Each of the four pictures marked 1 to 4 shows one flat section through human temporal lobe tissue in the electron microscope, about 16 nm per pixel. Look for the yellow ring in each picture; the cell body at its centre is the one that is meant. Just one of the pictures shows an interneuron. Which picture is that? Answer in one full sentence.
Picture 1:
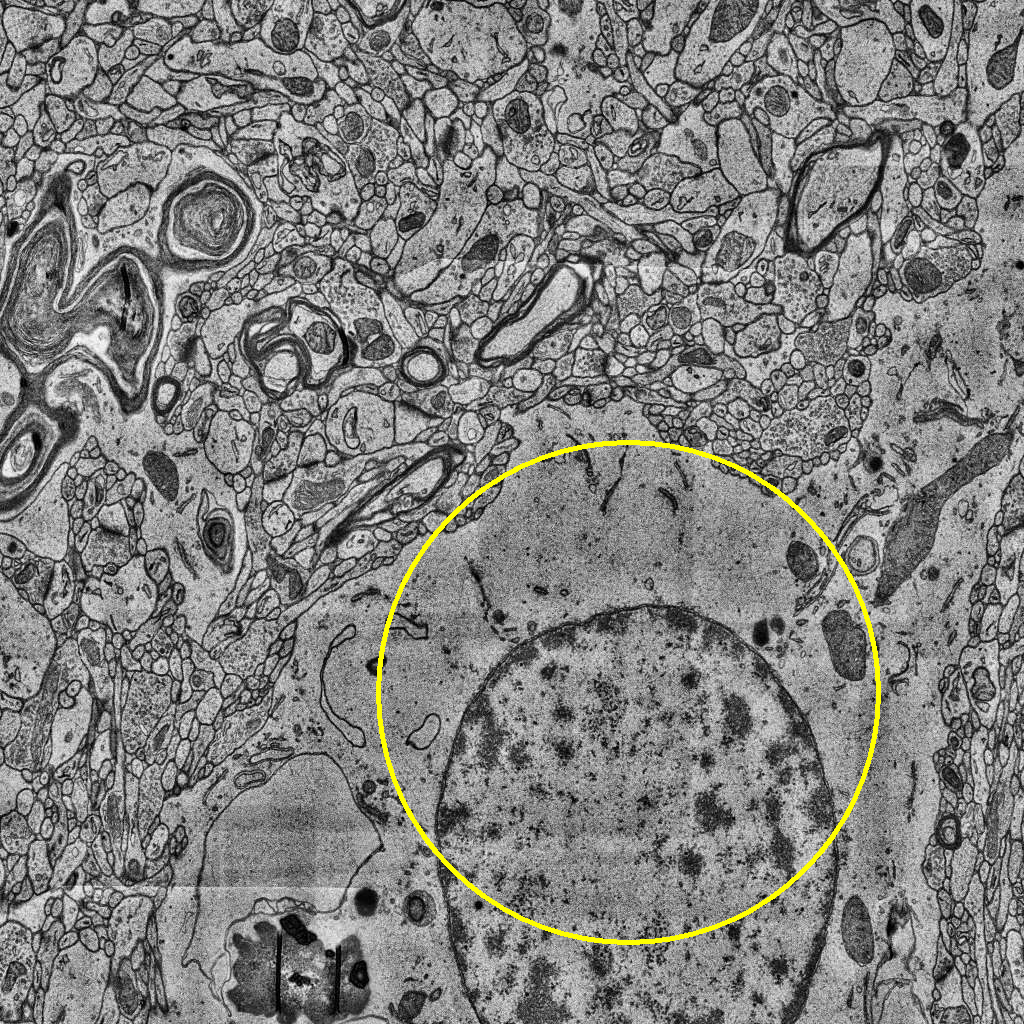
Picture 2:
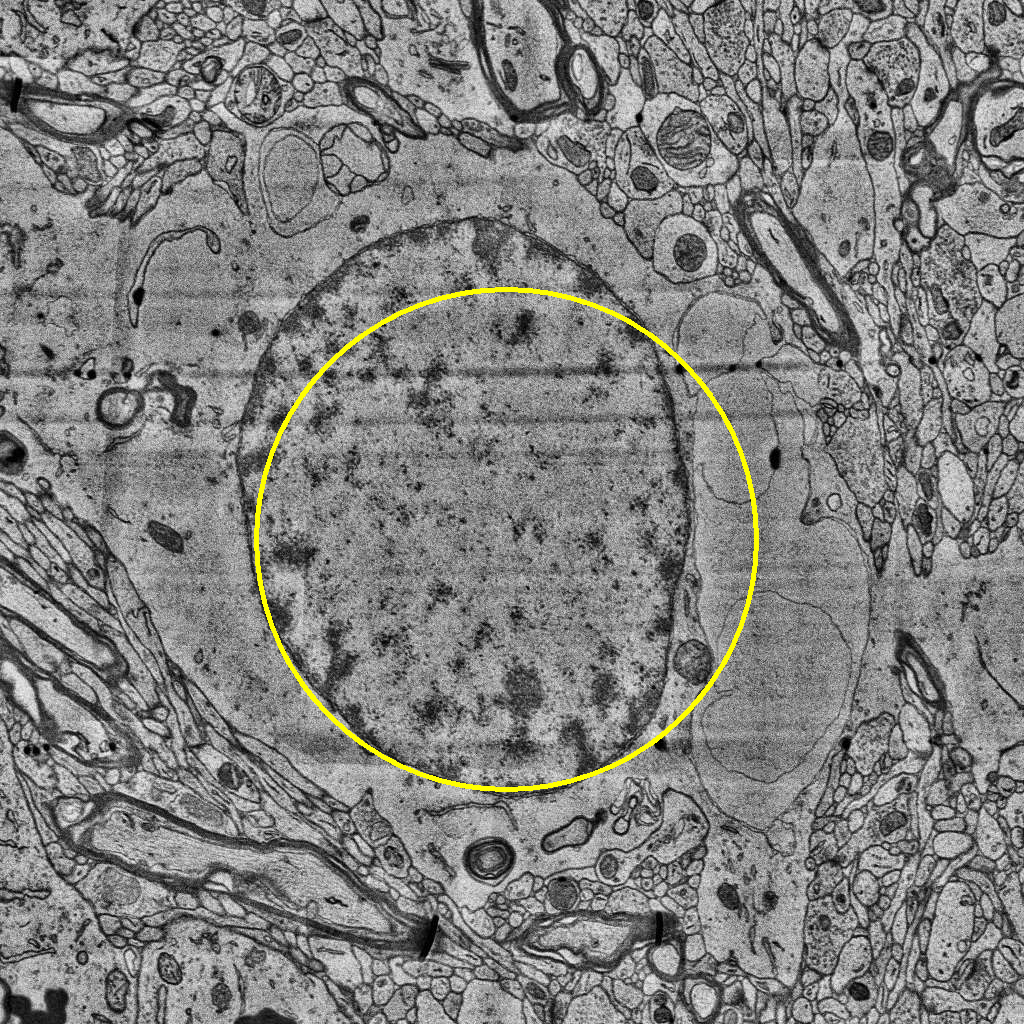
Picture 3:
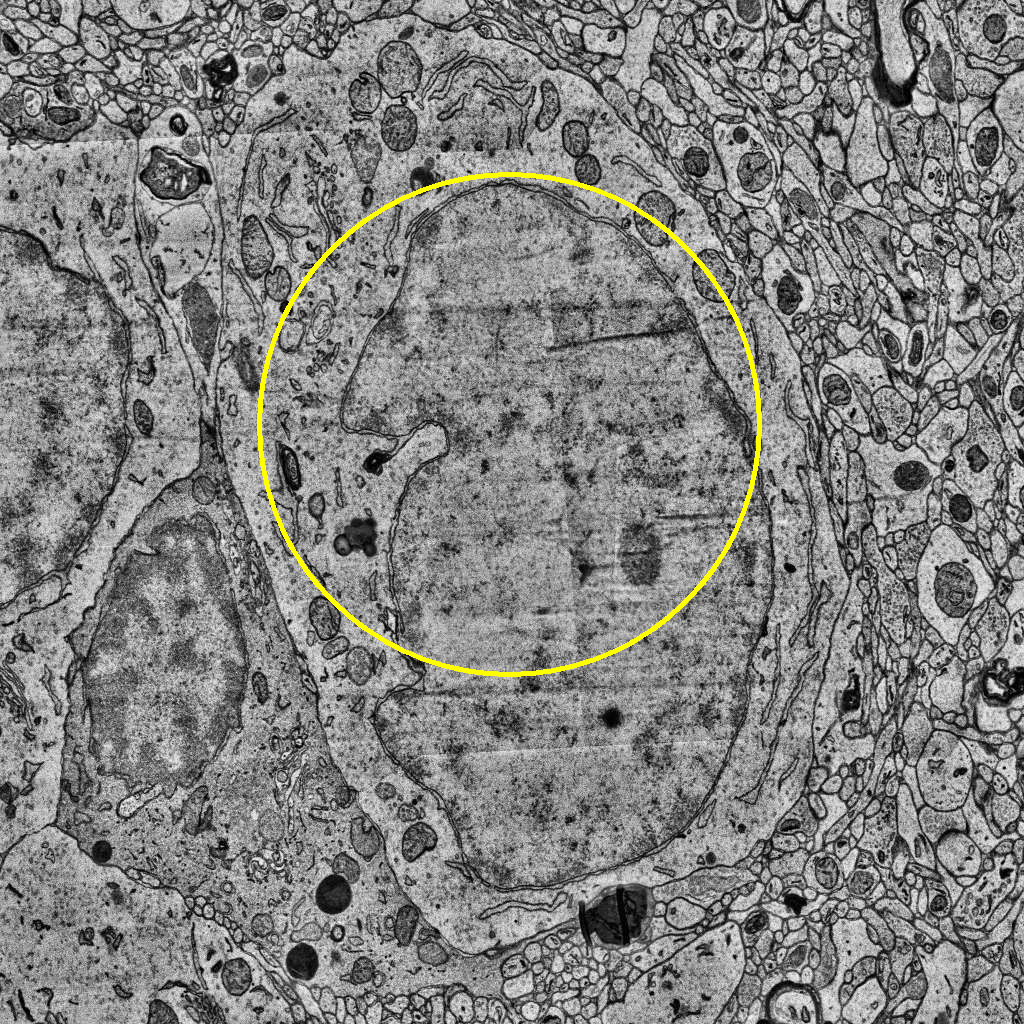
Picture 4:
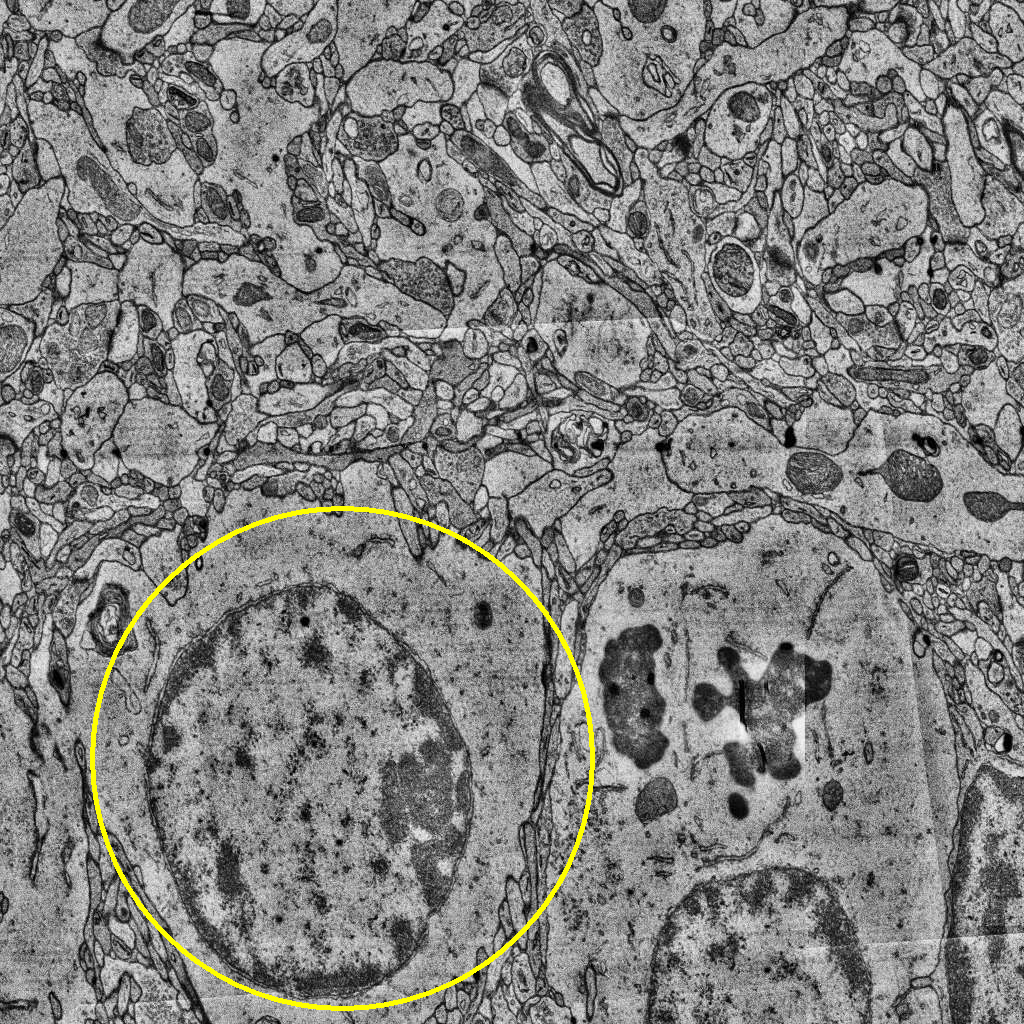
Picture 3 shows the interneuron.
